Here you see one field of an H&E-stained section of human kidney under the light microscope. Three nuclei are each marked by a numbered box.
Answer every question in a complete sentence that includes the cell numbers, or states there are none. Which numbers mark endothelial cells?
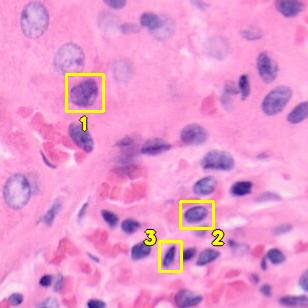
The cells the numbers 2 and 3 point to are endothelial cells.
